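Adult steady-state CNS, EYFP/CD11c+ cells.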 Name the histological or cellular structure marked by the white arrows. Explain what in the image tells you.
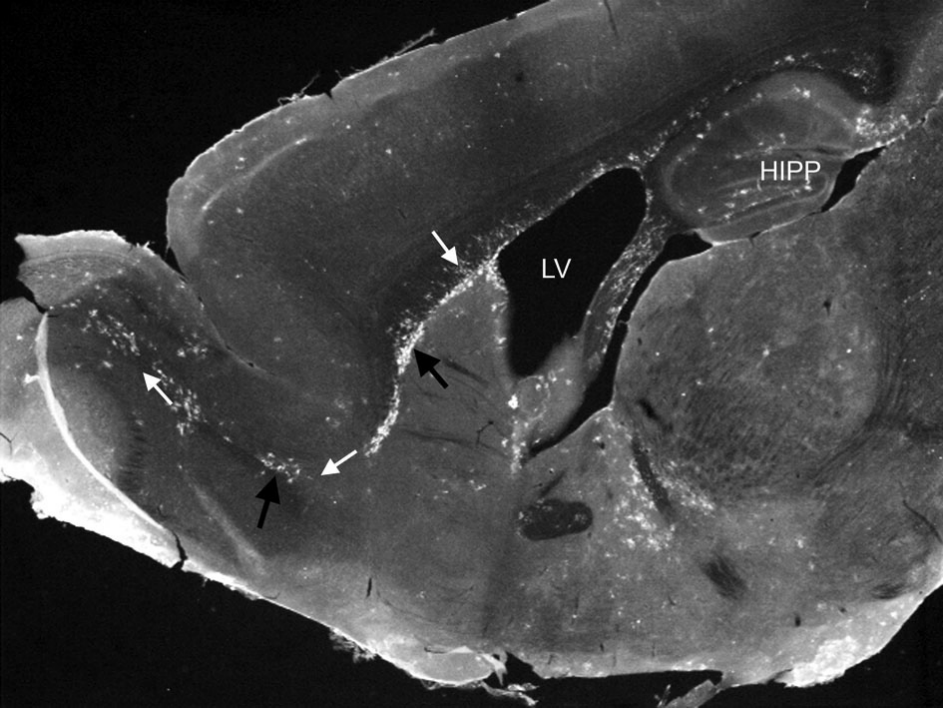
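The white arrows lie along a narrow band of bright dots. The band runs from the front corner of the large dark ventricle forward into the rostral lobe at the left of the section.
Answer: rostral migratory stream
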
